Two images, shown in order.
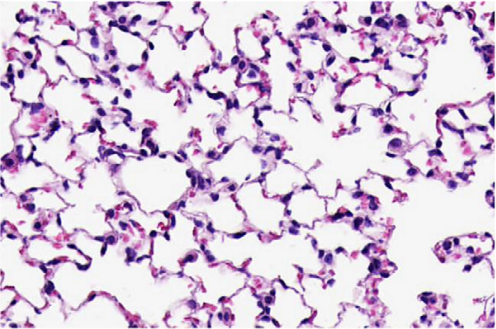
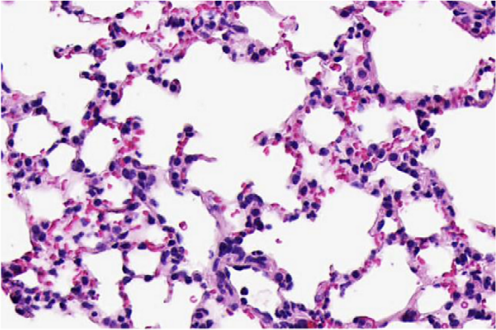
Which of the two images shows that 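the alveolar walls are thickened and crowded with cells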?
the second image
